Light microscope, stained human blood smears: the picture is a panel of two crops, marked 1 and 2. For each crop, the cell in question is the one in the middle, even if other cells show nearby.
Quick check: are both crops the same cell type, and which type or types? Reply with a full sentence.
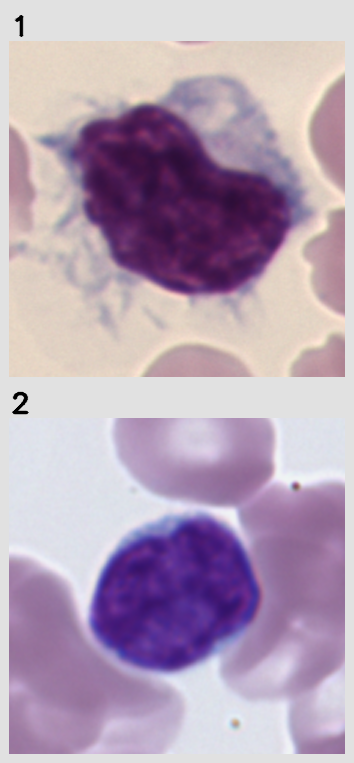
No, a typical lymphocyte is the cell in crop 2, and crop 1 contains a hairy cell.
